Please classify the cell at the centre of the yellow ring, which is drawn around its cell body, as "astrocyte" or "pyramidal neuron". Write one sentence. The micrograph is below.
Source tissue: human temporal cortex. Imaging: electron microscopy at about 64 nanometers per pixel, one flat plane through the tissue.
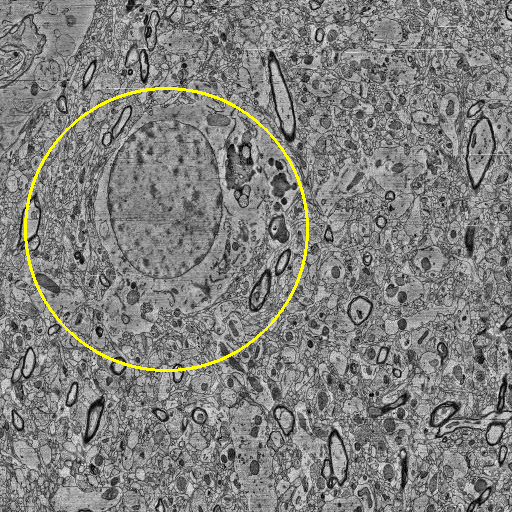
The cell at the ring's centre is classified as an astrocyte.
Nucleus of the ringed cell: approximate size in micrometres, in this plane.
In this plane the nucleus spans approximately 11 by 7 micrometers.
